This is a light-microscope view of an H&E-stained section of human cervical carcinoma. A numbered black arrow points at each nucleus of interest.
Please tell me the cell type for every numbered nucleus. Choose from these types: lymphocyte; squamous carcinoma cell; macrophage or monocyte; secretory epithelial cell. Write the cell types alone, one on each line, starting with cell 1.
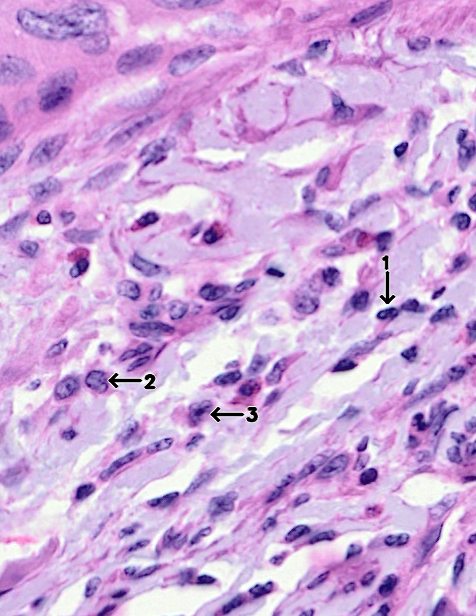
lymphocyte
macrophage or monocyte
macrophage or monocyte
